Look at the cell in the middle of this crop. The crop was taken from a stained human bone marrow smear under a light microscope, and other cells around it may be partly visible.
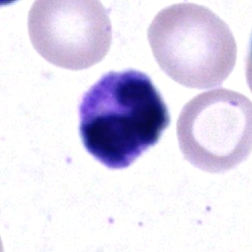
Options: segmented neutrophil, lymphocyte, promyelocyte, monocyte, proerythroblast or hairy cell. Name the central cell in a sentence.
To answer, the cell in the center of the crop is a segmented neutrophil.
